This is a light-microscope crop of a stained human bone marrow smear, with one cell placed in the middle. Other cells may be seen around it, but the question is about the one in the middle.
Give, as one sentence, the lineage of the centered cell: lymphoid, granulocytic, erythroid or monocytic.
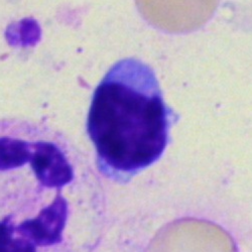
In this crop the cell in the center is part of the lymphoid lineage.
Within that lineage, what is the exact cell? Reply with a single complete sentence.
This particular crop is centered on a lymphocyte.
